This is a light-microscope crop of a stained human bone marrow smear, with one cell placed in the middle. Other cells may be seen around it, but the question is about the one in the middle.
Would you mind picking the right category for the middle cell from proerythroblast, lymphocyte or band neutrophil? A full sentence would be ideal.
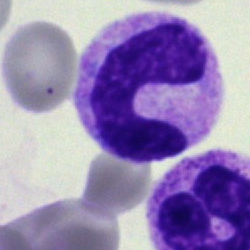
The middle position in this crop is taken by a band neutrophil.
